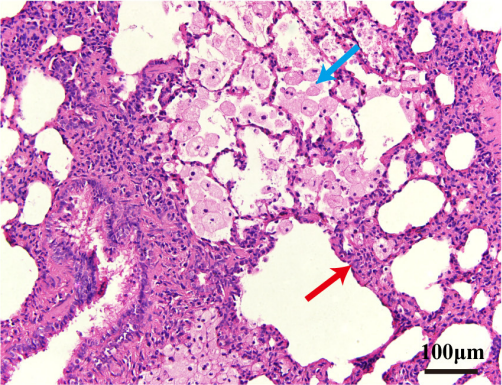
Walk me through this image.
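This is lung tissue with a bronchiole at the lower left and alveoli around it. Many alveoli hold large rounded cells with abundant pale pink, foamy cytoplasm and small dark nuclei, crowding the air spaces. The alveolar walls are thickened and crowded with small cells with dense purple nuclei, especially around the airway. The pale free cells in the alveoli are dust cells, and the dense dark cells in the thickened walls are inflammatory cells.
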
